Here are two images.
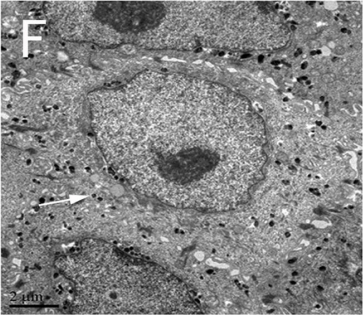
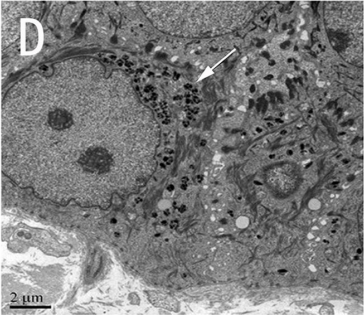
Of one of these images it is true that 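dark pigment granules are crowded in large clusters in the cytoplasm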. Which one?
The second image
